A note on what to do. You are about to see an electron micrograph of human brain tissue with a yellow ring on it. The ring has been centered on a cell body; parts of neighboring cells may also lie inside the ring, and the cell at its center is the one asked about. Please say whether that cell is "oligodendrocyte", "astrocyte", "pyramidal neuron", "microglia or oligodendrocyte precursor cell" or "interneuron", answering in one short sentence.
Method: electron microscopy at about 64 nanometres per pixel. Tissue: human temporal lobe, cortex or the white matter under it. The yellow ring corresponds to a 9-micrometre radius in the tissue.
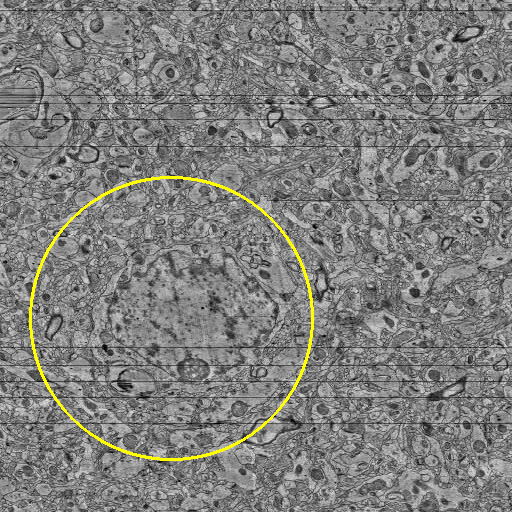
The yellow ring sits on an interneuron.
